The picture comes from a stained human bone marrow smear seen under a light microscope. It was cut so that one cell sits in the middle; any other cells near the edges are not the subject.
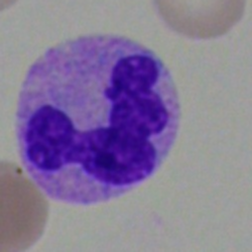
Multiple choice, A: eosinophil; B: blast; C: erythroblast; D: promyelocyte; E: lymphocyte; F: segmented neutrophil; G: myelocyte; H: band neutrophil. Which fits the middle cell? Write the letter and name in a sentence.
Of the choices given, option F is right, as the central cell is a segmented neutrophil.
